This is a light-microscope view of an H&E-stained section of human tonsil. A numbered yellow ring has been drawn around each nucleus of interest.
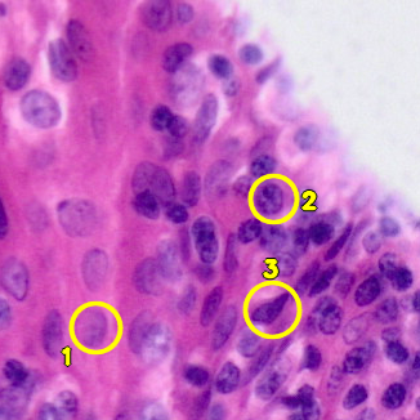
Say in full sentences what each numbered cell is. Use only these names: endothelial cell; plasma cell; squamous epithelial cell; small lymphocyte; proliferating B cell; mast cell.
Cell 1 is a squamous epithelial cell, cell 2 is a plasma cell and cell 3 is a squamous epithelial cell.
